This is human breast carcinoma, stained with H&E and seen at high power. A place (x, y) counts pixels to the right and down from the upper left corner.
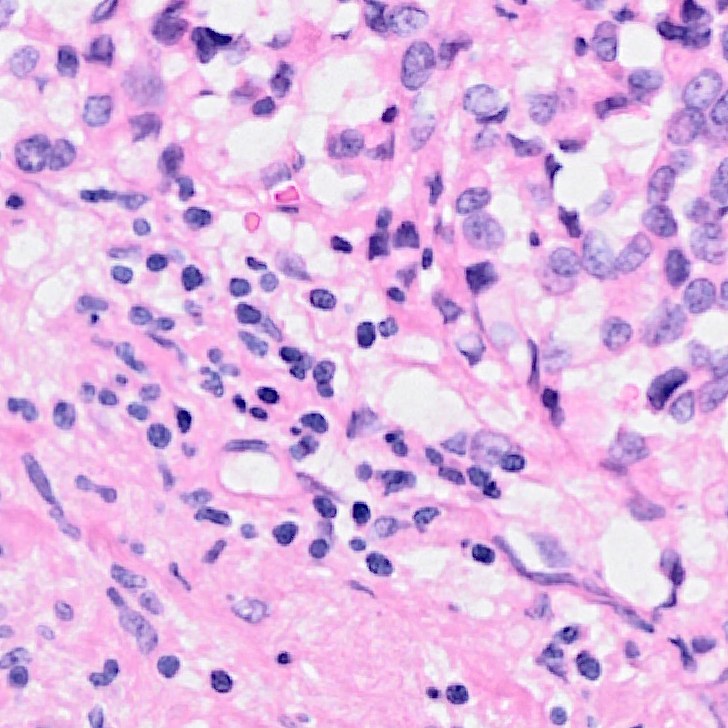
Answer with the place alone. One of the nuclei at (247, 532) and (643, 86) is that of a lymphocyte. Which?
(247, 532)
